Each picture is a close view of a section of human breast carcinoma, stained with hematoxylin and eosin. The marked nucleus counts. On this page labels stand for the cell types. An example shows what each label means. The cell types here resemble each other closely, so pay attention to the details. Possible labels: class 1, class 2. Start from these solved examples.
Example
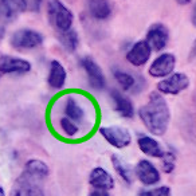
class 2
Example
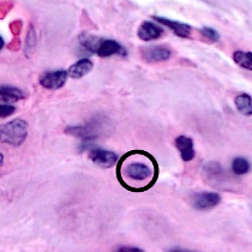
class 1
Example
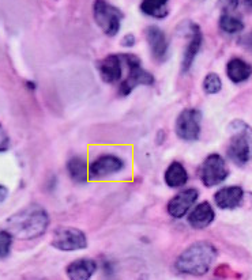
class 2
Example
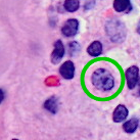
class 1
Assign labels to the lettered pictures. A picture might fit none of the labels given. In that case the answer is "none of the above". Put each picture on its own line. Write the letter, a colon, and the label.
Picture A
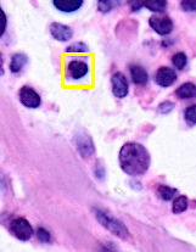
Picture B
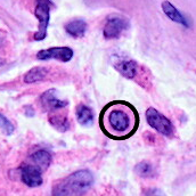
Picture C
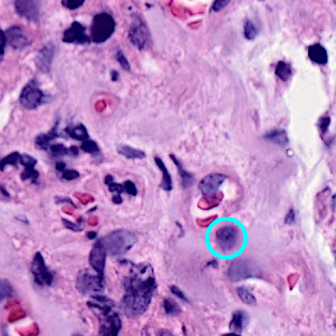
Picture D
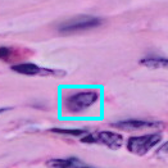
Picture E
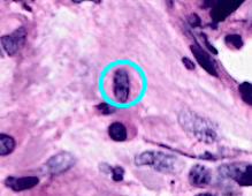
A: class 2
B: class 1
C: none of the above
D: class 1
E: class 1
